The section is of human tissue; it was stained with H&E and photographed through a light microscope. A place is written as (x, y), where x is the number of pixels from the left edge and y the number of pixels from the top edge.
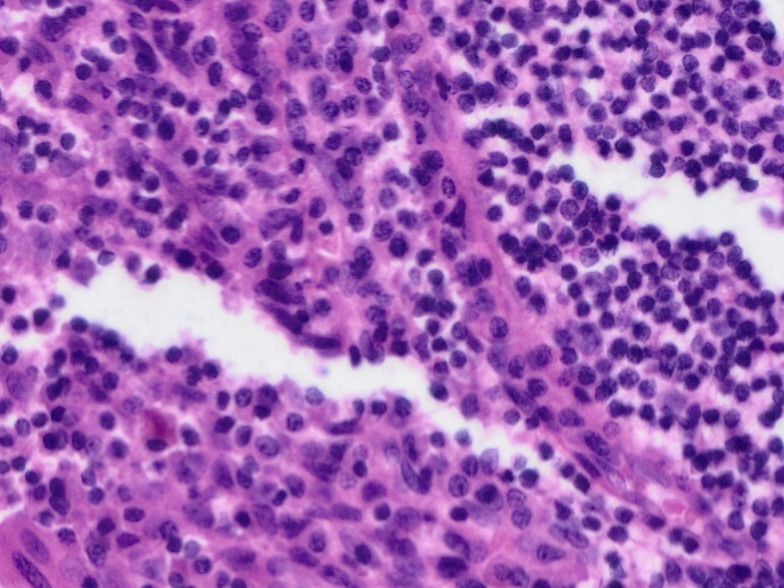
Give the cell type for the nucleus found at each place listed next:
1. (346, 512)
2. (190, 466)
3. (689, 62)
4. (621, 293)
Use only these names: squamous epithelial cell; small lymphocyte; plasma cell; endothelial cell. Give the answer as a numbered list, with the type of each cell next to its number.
1. squamous epithelial cell
2. squamous epithelial cell
3. small lymphocyte
4. small lymphocyte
